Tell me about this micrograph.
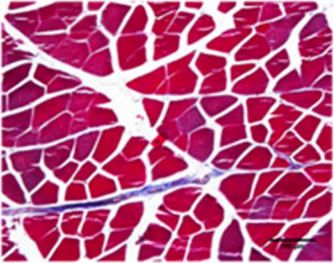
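Cross-section of skeletal muscle with many muscle fibers cut transversely, stained red. The fibers are polygonal and closely packed, fitting against each other in bundles. Narrow white clefts separate individual fibers, and thin bluish-purple connective tissue septa run between bundles. Blue-stained connective tissue is scant.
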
